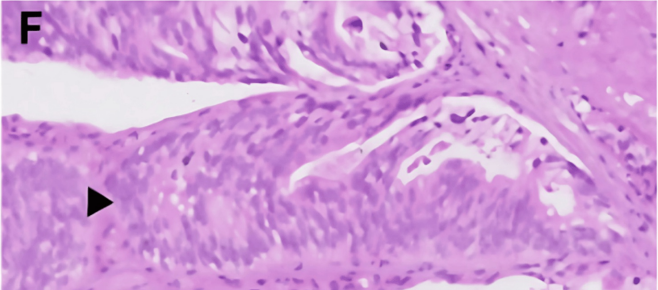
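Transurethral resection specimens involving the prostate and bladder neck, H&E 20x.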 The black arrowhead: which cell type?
Tall columnar cells with pseudostratified nuclei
